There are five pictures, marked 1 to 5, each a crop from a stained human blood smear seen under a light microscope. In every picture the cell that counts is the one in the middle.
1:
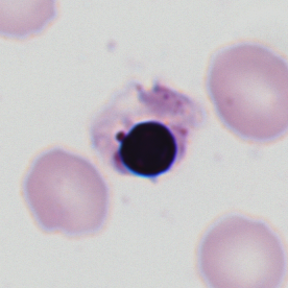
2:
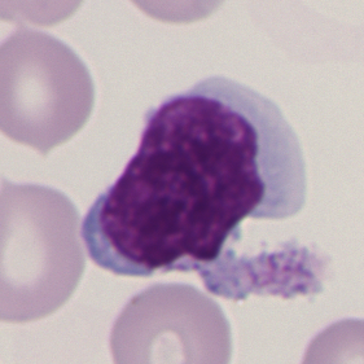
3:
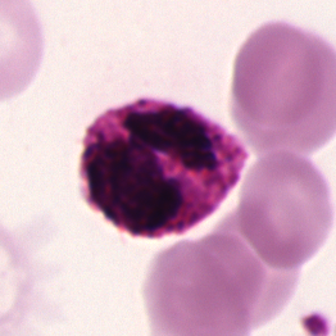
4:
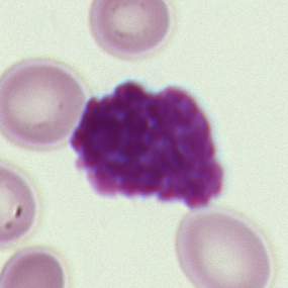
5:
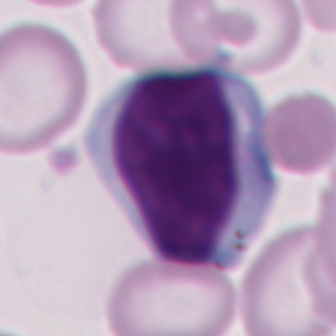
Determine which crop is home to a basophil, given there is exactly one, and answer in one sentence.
Of the labeled crops, the one with a basophil is crop 3.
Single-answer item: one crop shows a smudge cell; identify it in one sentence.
Only in crop 4 is a smudge cell shown.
